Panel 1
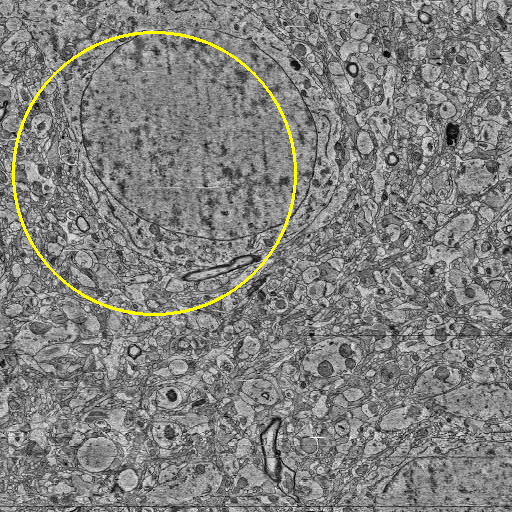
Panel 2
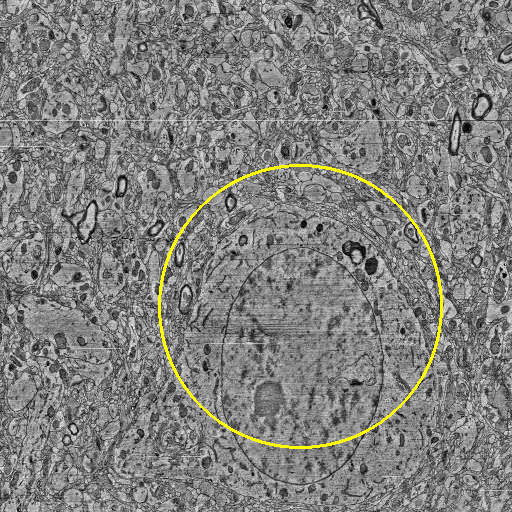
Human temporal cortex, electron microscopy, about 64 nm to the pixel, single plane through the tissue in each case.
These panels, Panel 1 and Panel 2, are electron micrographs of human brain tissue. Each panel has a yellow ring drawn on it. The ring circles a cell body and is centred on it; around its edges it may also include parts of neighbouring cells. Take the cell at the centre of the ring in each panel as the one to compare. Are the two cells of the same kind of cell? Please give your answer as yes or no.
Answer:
yes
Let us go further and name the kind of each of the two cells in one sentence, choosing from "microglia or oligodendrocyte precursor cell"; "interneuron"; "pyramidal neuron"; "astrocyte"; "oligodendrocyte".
Both the first and the second picture show a pyramidal neuron in the ring.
